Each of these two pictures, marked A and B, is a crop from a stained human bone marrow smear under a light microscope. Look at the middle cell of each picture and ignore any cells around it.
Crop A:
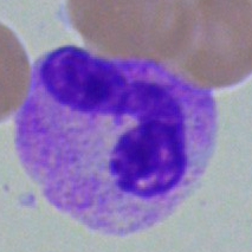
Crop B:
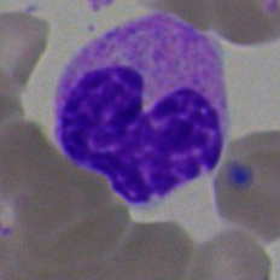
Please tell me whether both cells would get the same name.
yes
